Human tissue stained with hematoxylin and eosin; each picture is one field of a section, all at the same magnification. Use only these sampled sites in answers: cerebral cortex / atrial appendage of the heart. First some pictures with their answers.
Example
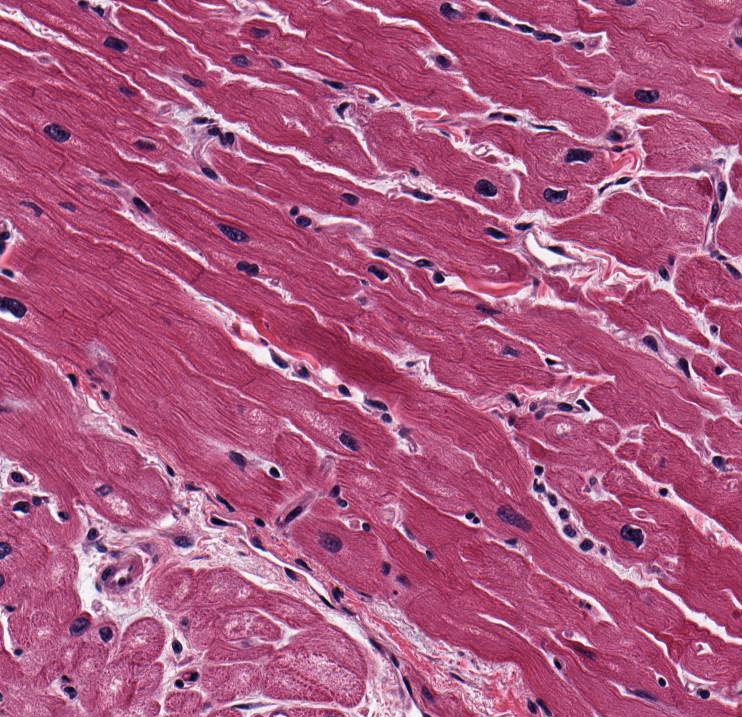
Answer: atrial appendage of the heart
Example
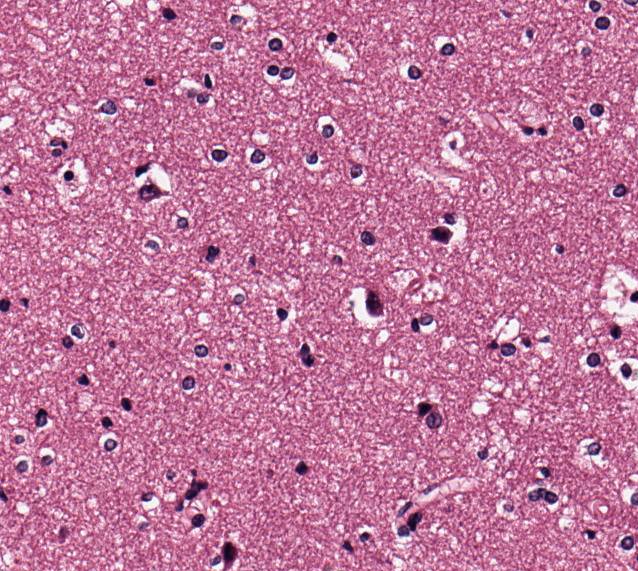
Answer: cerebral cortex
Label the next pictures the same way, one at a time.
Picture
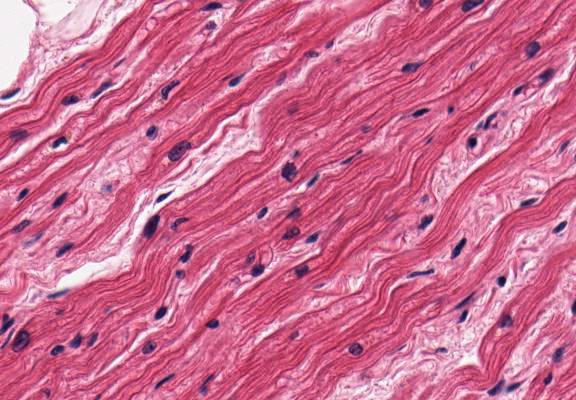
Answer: atrial appendage of the heart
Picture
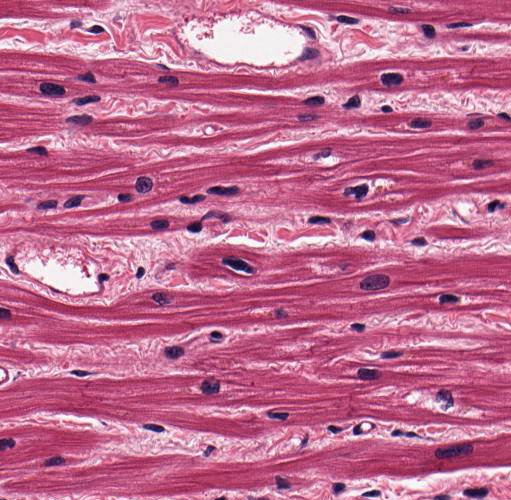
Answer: atrial appendage of the heart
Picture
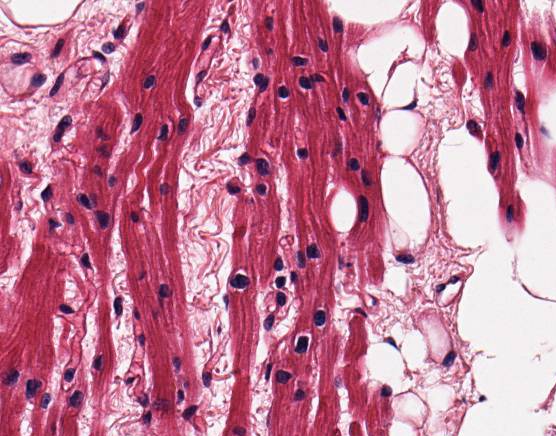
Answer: atrial appendage of the heart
